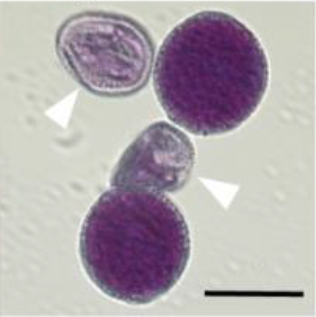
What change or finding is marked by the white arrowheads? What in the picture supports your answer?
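The marked grains are smaller and irregular, collapsed in outline. The marked grains are pale with folded walls instead of being filled with purple. Two neighbouring grains are round and evenly stained deep purple.
Shrivelled pollen grains.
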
